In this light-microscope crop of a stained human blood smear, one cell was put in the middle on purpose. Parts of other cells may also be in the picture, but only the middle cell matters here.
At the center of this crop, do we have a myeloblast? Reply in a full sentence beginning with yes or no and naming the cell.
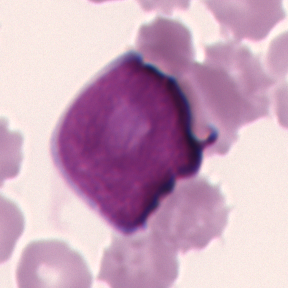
Yes, the middle of the crop is occupied by a myeloblast.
